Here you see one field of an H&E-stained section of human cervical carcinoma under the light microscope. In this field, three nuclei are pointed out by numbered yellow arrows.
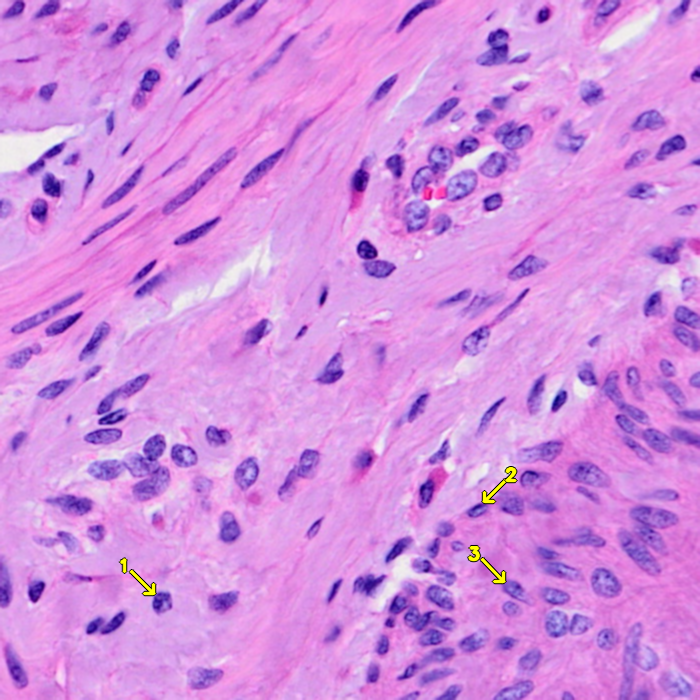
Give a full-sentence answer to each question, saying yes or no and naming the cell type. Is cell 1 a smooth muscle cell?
No, cell 1 is to be classed as a fibroblast, not a smooth muscle cell.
